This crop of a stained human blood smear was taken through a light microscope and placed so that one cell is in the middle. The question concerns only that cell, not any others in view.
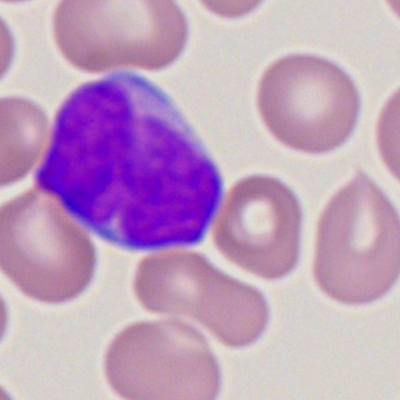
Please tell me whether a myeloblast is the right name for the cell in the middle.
yes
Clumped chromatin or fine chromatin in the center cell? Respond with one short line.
Answer: the chromatin in this nucleus is coarsely clumped.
